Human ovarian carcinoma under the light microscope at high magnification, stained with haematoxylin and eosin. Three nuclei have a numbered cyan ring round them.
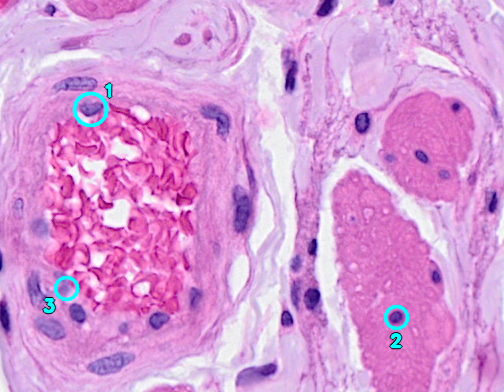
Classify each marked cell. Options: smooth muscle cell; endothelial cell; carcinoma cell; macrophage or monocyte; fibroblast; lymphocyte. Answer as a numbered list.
1. endothelial cell
2. smooth muscle cell
3. endothelial cell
